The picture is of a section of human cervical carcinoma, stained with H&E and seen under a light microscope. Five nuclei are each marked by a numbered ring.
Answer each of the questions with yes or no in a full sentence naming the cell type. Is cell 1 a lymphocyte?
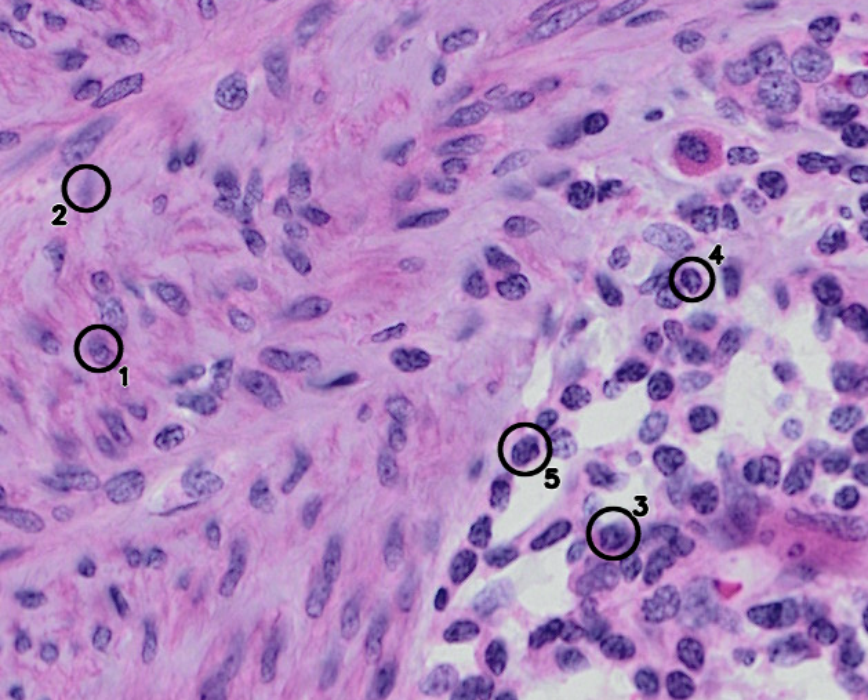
No. Cell number 1 is a smooth muscle cell, not a lymphocyte.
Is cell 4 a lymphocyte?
Yes, as for number 4, the cell is a lymphocyte.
